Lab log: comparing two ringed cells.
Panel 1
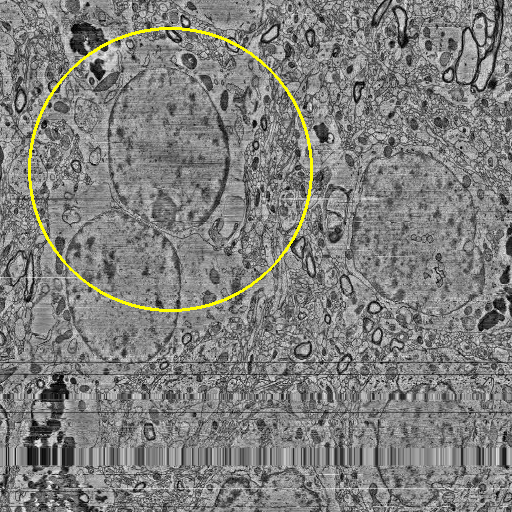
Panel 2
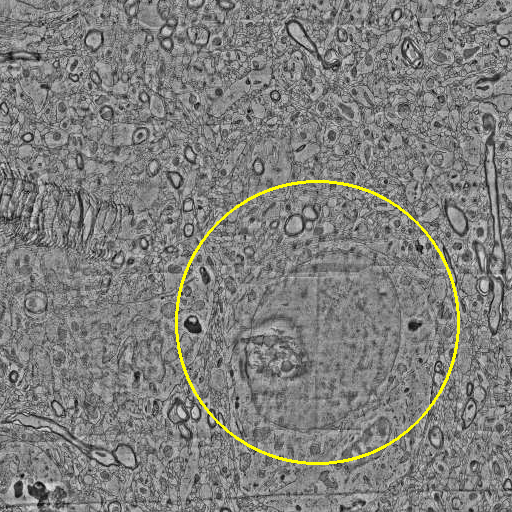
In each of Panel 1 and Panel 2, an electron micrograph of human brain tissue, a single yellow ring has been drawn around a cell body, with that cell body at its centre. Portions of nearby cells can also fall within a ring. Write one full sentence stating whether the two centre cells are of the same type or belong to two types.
The cells at the ring centres in Panel 1 and Panel 2 belong to two types.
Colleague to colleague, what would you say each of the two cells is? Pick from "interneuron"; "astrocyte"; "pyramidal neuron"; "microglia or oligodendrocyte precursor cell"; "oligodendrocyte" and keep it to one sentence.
The cell in the first picture is an astrocyte; the second picture's cell is a pyramidal neuron.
